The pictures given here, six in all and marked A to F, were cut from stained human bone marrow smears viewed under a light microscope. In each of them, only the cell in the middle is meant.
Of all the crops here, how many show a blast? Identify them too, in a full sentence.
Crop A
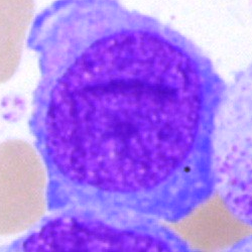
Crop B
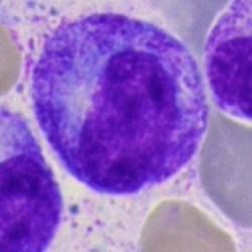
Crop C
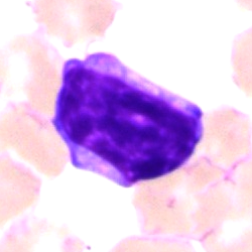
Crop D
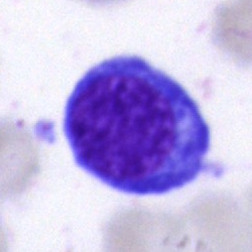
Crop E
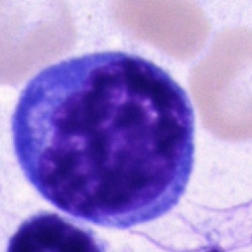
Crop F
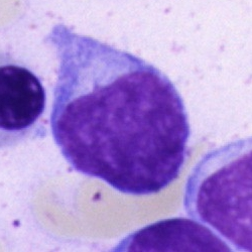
Crops with blasts come to three, specifically A, E and F.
